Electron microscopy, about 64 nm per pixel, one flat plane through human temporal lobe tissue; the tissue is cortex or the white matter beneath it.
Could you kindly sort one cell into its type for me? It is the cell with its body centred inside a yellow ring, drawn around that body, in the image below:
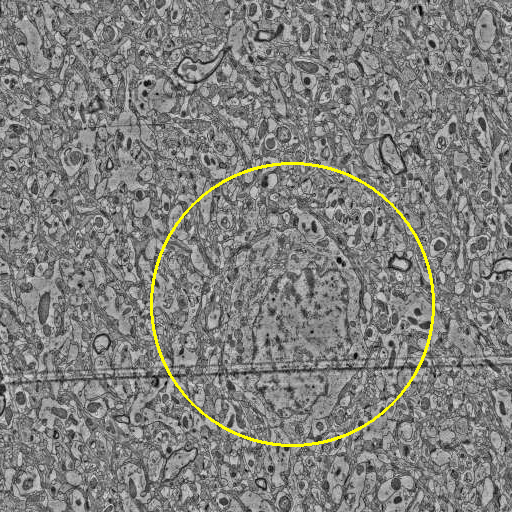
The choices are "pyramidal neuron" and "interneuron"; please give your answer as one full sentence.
The cell whose body lies centred in the yellow ring here is an interneuron.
